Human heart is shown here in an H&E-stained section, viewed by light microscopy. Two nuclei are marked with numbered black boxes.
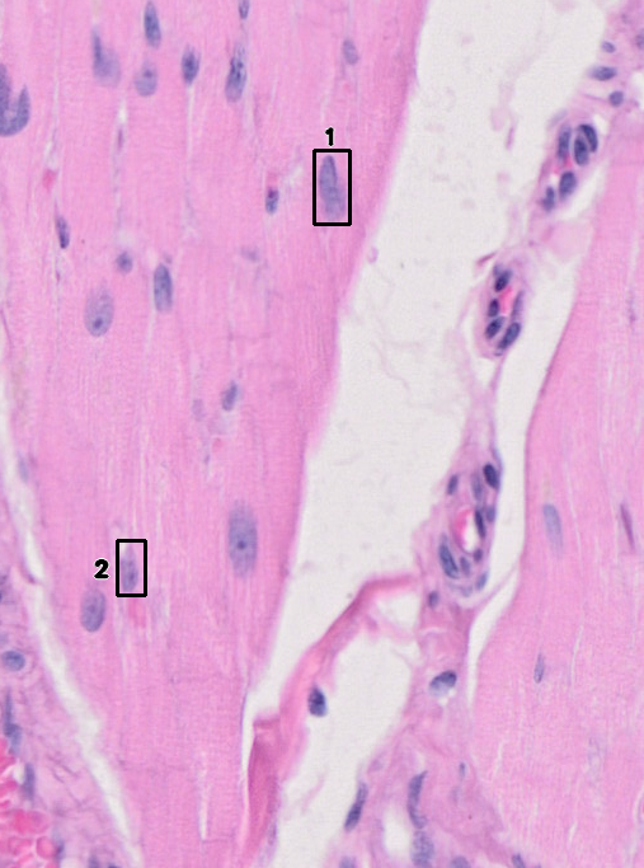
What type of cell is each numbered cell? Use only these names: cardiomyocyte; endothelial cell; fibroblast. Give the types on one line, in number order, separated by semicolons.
cardiomyocyte; endothelial cell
